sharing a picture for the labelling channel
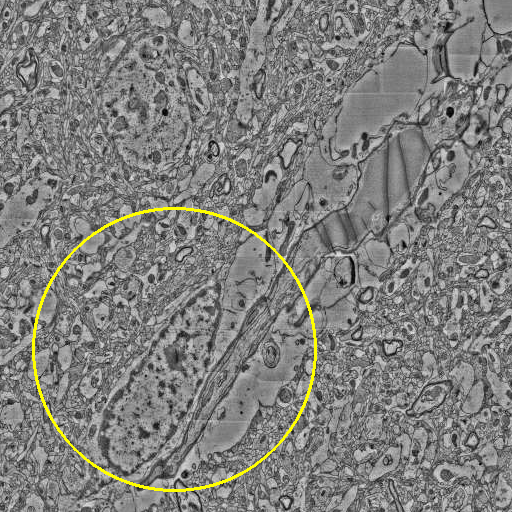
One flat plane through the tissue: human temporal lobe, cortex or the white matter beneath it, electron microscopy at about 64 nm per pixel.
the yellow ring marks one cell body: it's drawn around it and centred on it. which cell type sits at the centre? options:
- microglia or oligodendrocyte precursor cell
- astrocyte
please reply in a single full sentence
In the picture, the cell at the ring's centre is a microglial cell or oligodendrocyte precursor cell, going by the list.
